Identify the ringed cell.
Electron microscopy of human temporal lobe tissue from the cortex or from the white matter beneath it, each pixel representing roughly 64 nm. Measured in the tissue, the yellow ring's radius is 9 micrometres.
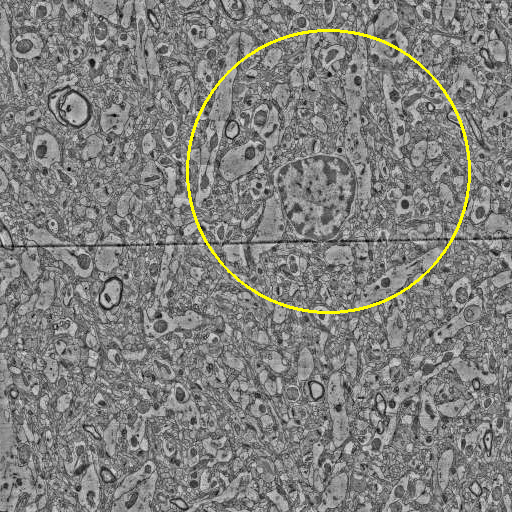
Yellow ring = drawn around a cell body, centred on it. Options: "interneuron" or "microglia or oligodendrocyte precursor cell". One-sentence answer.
What the ring is centred on is a microglial cell or oligodendrocyte precursor cell.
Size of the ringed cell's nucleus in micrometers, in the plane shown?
Roughly 6 by 5 micrometres in this plane, for the nucleus of the ringed cell.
